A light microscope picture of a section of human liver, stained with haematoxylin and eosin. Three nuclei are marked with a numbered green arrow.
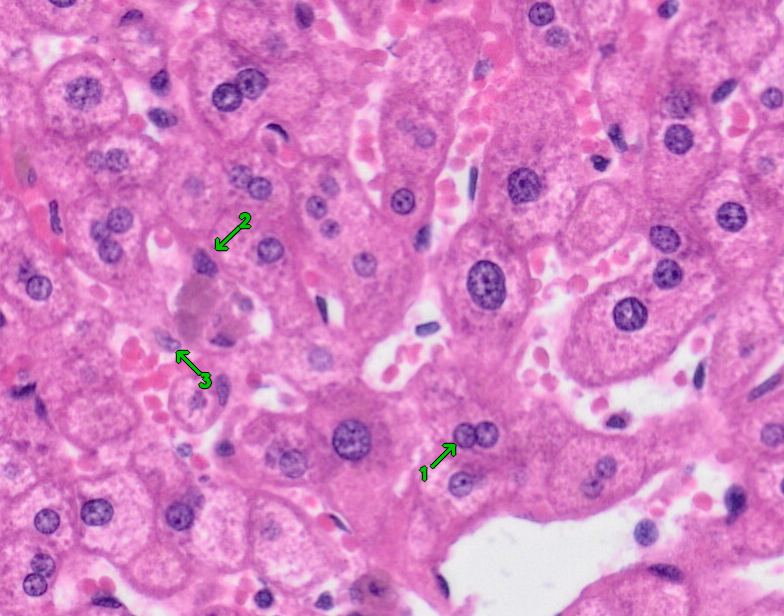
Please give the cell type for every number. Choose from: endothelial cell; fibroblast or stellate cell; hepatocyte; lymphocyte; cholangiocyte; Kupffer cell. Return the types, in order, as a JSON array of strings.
["hepatocyte", "fibroblast or stellate cell", "Kupffer cell"]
